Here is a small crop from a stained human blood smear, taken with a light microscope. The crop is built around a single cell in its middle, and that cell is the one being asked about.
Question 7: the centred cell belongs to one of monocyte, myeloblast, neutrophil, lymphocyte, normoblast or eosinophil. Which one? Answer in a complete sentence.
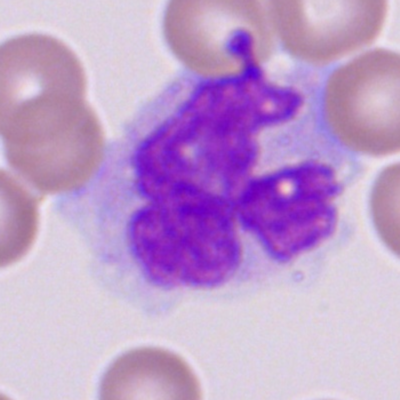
The cell in the middle of this crop is a monocyte.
